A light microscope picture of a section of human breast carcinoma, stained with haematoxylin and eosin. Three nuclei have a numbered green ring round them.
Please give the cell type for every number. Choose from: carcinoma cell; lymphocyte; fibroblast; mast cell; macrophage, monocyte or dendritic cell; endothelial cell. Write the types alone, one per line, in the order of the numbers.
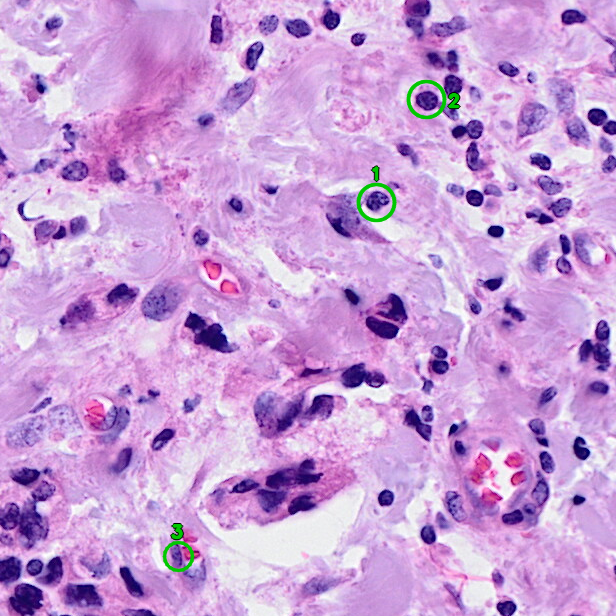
lymphocyte
lymphocyte
endothelial cell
